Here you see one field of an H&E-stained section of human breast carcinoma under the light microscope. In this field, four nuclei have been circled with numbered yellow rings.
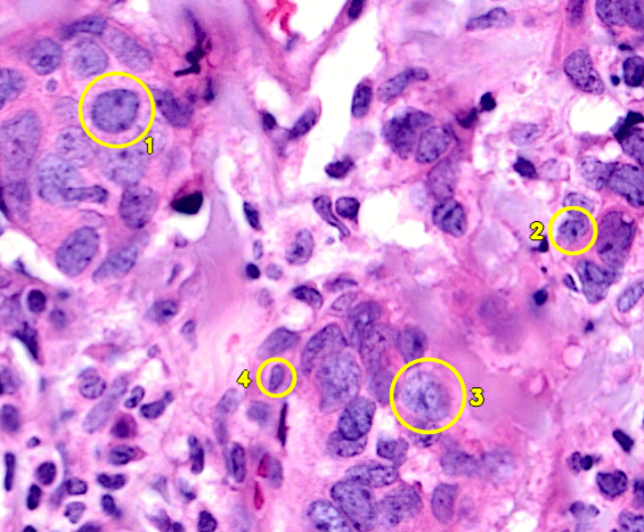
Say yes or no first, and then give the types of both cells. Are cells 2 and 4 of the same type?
No, cell 2 is a carcinoma cell, while an endothelial cell is what cell 4 is.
